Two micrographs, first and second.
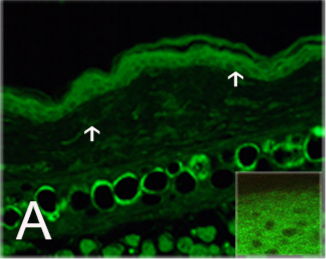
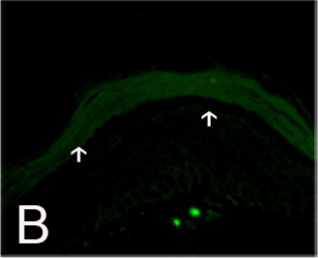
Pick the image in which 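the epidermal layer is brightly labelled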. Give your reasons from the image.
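Second image: the surface layer shows only faint green. First image: the surface layer shows distinct green labelling. So: the first image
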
